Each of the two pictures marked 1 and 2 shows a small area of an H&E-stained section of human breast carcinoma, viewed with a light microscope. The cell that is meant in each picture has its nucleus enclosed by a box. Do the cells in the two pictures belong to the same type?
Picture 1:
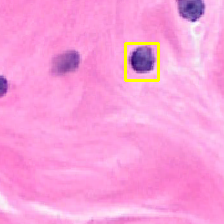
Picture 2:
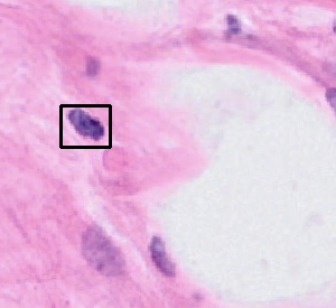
yes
